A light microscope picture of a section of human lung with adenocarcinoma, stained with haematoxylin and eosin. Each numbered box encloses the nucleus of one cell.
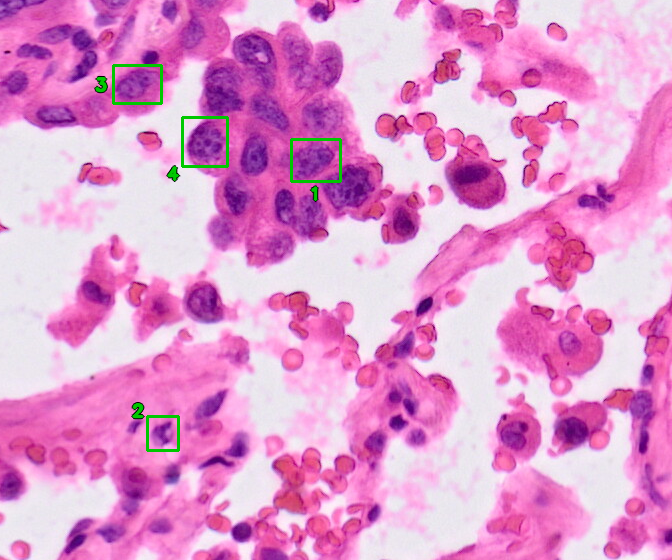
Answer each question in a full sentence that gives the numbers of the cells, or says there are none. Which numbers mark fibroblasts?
Only the cell with the number 2 is a fibroblast.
